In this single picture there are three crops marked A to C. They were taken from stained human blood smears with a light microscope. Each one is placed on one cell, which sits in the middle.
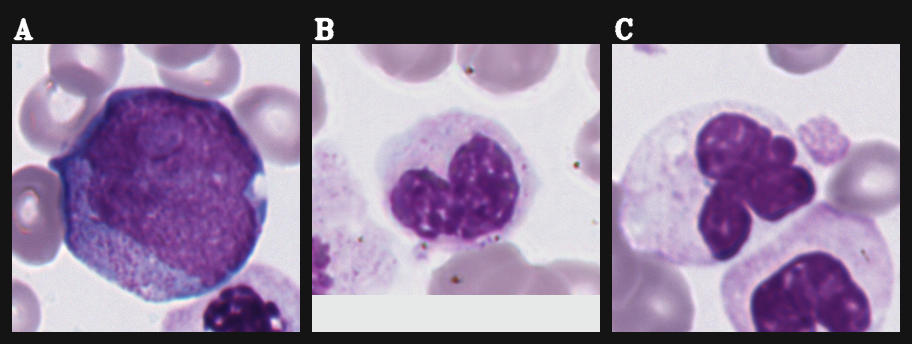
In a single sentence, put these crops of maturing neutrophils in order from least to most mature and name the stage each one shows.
Lined up by maturity, least mature to most mature, they are crop A (a promyelocyte), crop B (a band neutrophil) and crop C (a segmented neutrophil).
